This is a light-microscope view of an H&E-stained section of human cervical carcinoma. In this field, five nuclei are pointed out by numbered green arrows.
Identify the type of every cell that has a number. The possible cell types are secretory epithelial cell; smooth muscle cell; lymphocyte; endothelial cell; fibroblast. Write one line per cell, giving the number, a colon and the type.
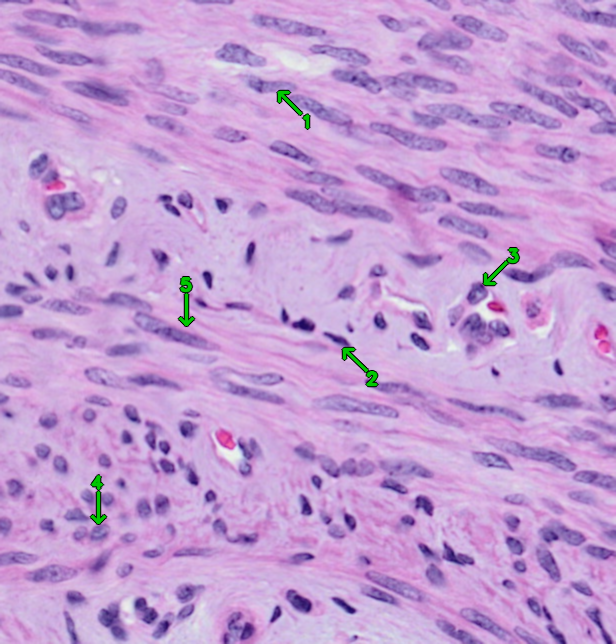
1: smooth muscle cell
2: fibroblast
3: endothelial cell
4: smooth muscle cell
5: smooth muscle cell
